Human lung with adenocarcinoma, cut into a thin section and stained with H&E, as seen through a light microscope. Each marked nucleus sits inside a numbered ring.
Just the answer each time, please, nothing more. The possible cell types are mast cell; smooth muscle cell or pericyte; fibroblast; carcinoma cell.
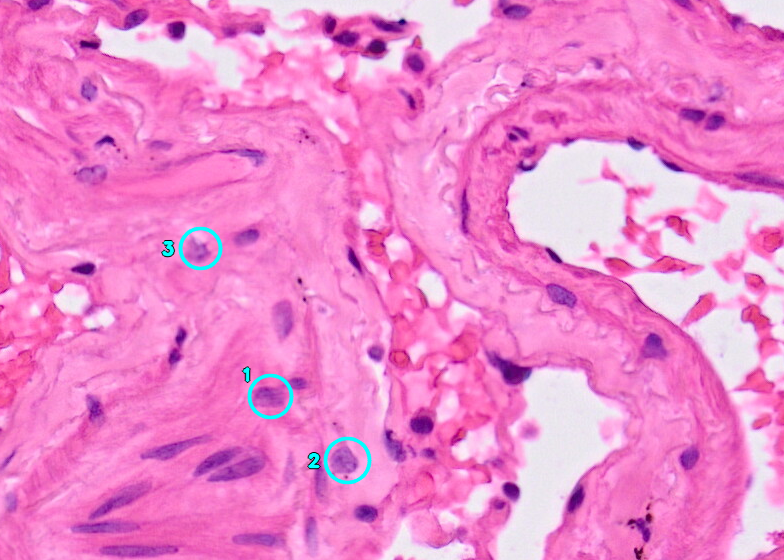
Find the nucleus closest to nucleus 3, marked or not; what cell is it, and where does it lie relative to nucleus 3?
a mast cell, to the right of nucleus 3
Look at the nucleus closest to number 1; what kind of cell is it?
smooth muscle cell or pericyte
